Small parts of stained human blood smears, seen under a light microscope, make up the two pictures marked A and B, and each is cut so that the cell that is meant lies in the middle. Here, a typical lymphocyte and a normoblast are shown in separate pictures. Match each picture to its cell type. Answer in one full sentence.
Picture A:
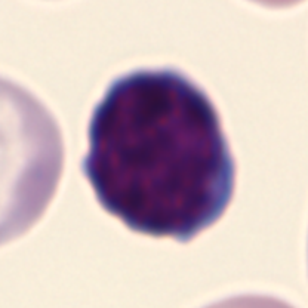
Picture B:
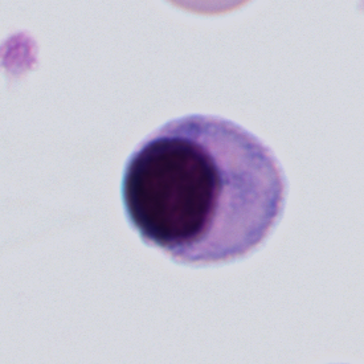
Picture A is of a typical lymphocyte, and picture B is of a normoblast.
